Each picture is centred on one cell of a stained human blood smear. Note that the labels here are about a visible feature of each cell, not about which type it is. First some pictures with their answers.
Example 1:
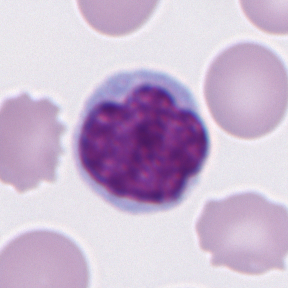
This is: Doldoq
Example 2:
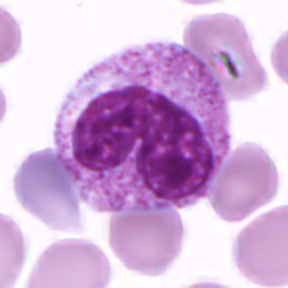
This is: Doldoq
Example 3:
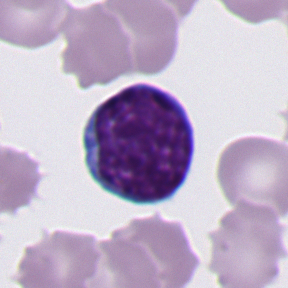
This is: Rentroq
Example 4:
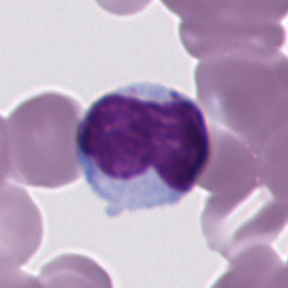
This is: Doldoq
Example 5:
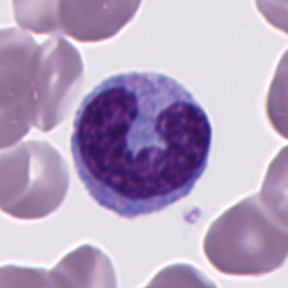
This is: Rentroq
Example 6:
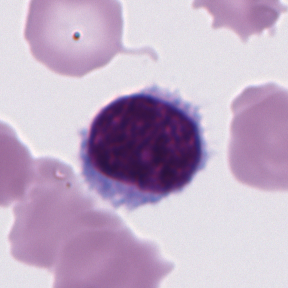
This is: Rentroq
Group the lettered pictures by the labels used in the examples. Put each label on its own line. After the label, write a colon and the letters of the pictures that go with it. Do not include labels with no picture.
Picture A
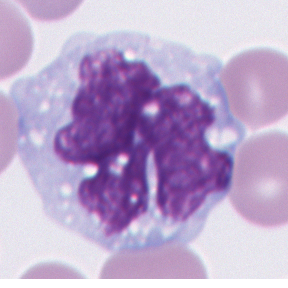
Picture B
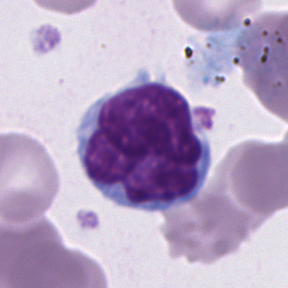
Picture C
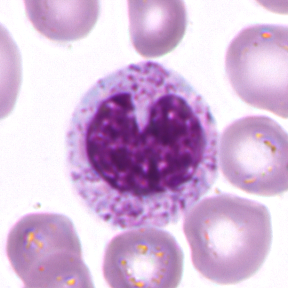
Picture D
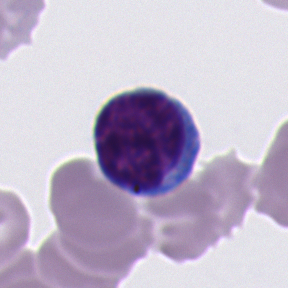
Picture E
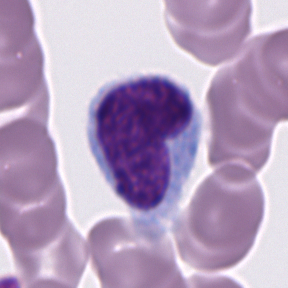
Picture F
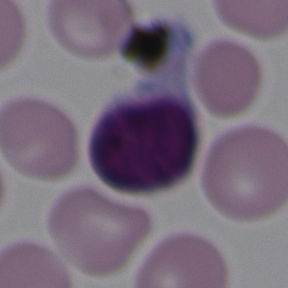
Doldoq: A, B
Rentroq: C, D, E, F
